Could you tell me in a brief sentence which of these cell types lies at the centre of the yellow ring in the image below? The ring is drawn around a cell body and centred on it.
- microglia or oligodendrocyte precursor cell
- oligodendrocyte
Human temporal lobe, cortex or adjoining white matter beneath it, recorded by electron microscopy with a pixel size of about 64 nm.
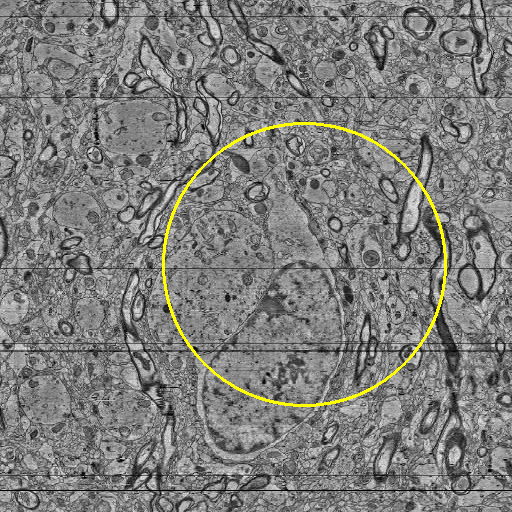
The cell centred in the ring is a microglial cell or oligodendrocyte precursor cell.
